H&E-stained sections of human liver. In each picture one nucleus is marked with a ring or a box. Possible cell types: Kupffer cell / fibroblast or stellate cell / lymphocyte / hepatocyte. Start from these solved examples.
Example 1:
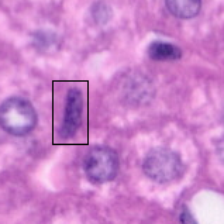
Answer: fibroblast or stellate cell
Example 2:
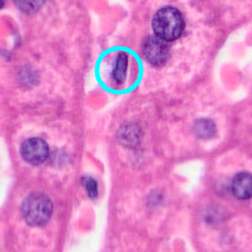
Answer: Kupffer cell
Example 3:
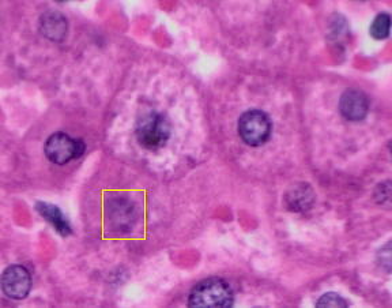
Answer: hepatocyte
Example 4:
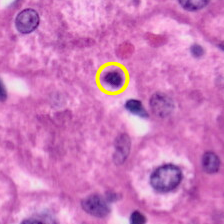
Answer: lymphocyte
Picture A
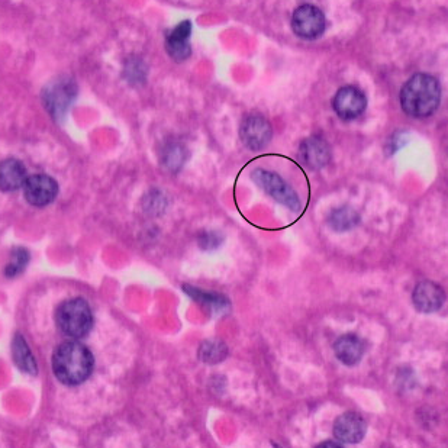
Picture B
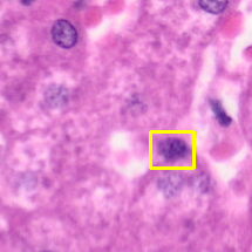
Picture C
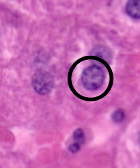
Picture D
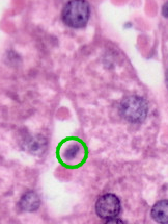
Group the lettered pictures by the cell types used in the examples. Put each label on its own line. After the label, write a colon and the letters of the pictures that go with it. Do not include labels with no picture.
Kupffer cell: A
fibroblast or stellate cell: B
lymphocyte: D
hepatocyte: C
